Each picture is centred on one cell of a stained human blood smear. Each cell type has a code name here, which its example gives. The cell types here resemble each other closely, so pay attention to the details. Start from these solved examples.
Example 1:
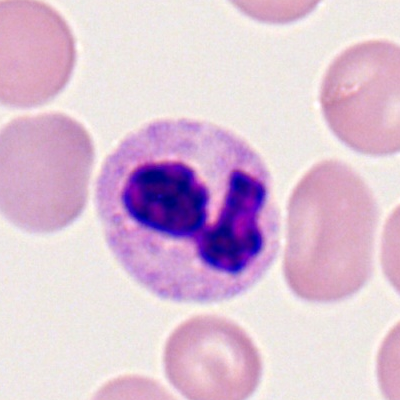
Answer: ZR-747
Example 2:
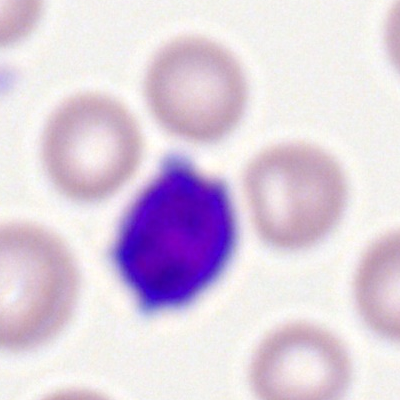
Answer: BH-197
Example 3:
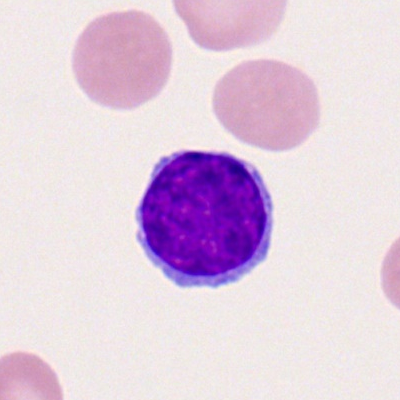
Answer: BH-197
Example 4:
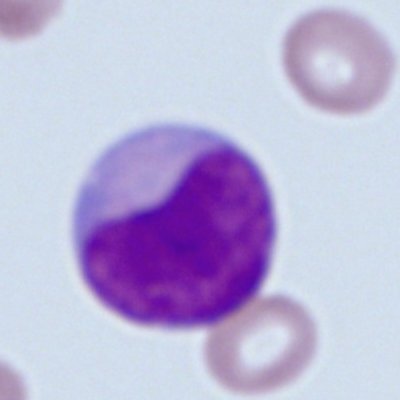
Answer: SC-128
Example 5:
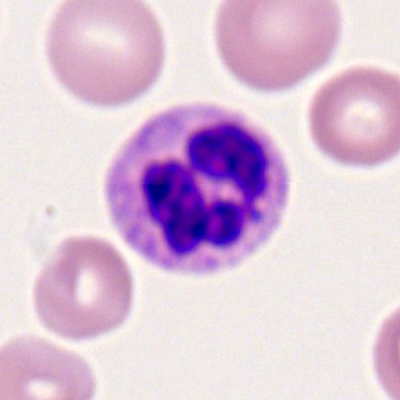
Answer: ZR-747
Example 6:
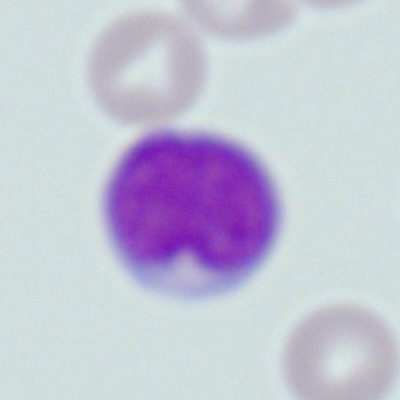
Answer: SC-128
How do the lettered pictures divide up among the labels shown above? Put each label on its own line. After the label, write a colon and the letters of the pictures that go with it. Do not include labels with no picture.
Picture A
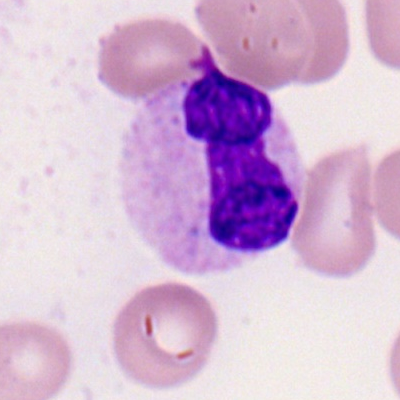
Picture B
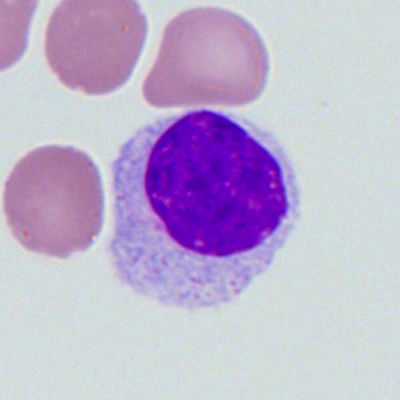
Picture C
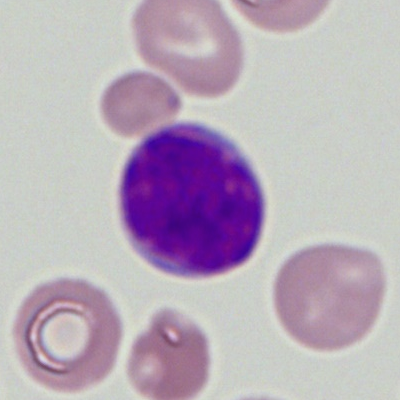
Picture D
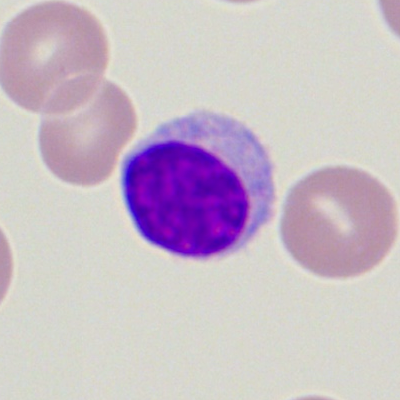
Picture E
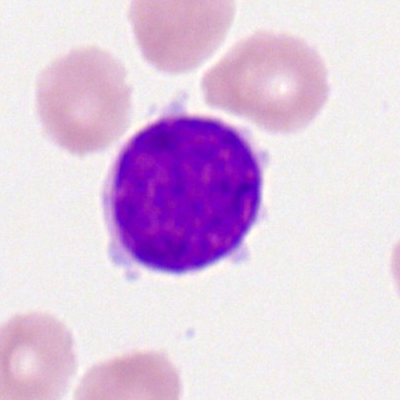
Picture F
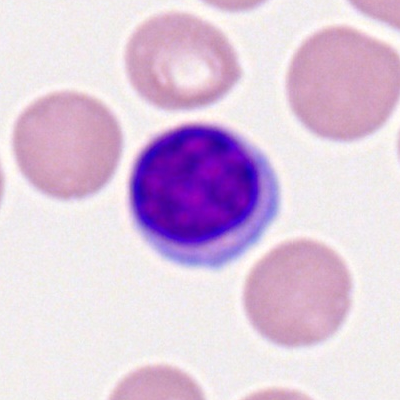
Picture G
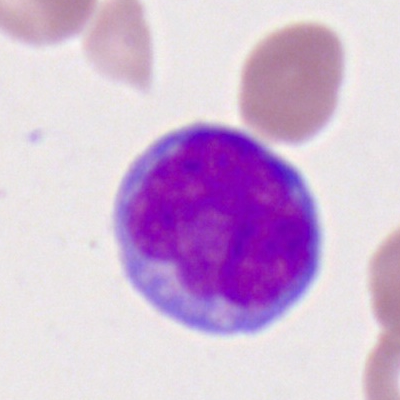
ZR-747: A
BH-197: B, C, D, E, F
SC-128: G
